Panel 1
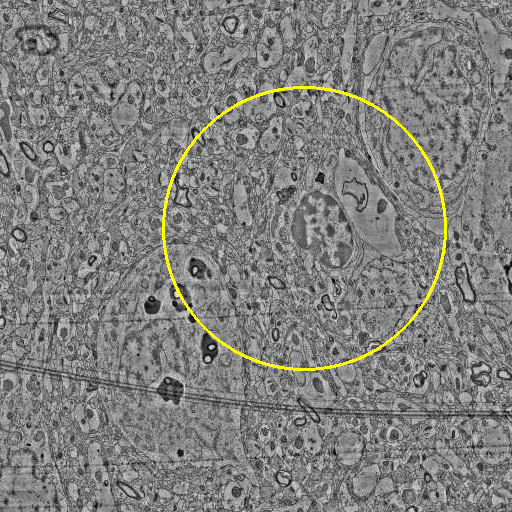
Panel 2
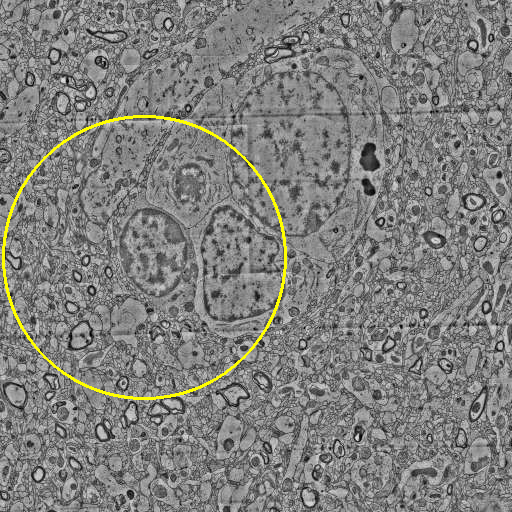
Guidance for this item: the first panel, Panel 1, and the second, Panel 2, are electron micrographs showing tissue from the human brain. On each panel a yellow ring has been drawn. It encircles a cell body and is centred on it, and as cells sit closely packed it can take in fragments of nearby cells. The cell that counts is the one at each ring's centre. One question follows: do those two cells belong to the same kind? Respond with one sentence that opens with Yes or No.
No, the cells at the ring centres in Panel 1 and Panel 2 are of two kinds.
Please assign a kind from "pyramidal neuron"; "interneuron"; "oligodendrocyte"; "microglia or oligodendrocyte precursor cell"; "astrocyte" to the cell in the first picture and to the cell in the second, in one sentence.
In the first picture we have a microglial cell or oligodendrocyte precursor cell, and in the second, an oligodendrocyte.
